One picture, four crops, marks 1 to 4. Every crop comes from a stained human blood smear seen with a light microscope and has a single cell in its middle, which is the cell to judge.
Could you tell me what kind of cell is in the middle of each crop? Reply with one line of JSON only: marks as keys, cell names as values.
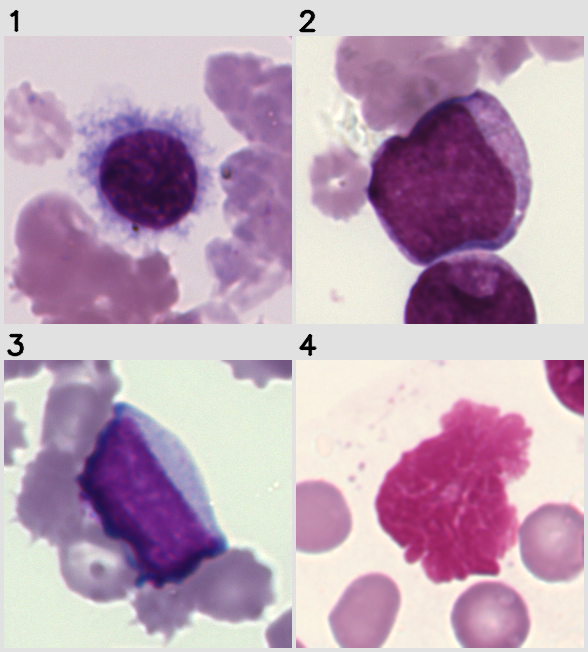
{"1": "hairy cell", "2": "myeloblast", "3": "myeloblast", "4": "smudge cell"}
